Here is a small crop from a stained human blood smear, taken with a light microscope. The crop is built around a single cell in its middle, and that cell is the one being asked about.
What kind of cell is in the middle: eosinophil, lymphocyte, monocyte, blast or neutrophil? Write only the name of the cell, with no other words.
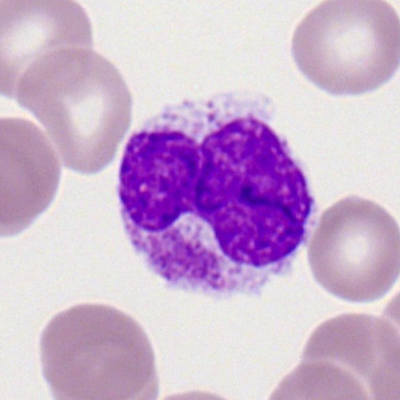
eosinophil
